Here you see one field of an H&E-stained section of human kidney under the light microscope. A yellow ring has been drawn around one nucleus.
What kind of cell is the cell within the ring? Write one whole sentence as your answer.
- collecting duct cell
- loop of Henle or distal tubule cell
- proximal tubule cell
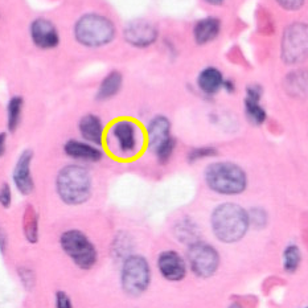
In the tissue under study, the cell within the ring is a collecting duct cell.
